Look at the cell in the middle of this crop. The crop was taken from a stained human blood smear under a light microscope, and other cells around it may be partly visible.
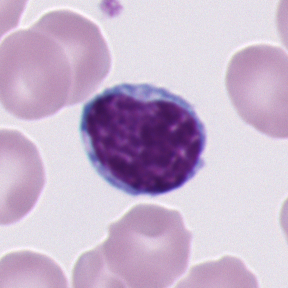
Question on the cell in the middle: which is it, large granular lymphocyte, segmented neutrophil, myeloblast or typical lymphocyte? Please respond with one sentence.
The crop shows a typical lymphocyte in its centre.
